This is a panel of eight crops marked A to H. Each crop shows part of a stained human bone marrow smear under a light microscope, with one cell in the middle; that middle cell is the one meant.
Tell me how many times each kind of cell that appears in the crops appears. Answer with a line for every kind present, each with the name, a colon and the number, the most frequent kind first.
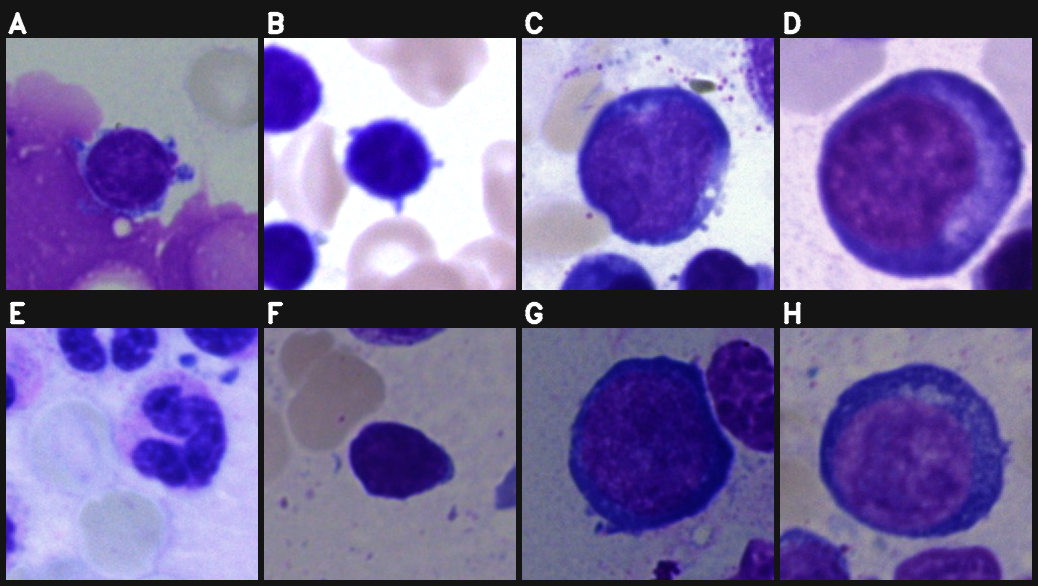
proerythroblast: 4
lymphocyte: 3
band neutrophil: 1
